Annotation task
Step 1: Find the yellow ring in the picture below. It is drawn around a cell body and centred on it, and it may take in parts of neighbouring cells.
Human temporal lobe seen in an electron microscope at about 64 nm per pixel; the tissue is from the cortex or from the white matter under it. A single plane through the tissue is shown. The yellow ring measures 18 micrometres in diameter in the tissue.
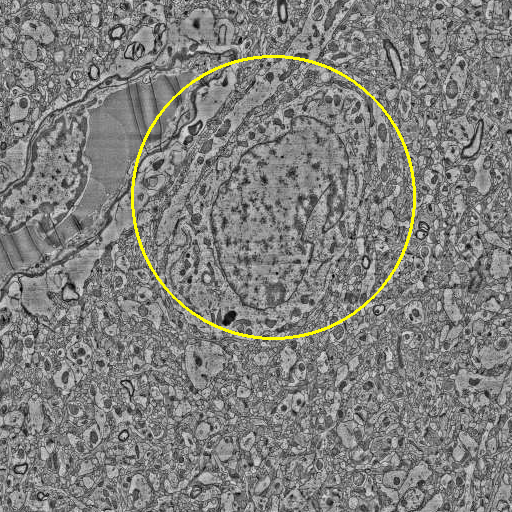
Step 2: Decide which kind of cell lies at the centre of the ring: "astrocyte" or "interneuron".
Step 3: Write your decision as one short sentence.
The kind of cell at the ring's centre is an interneuron.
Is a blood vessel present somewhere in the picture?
Yes, a blood vessel can be seen.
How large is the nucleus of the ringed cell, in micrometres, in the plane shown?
Roughly 13 by 7 micrometers, clearly longer than it is wide in this plane.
